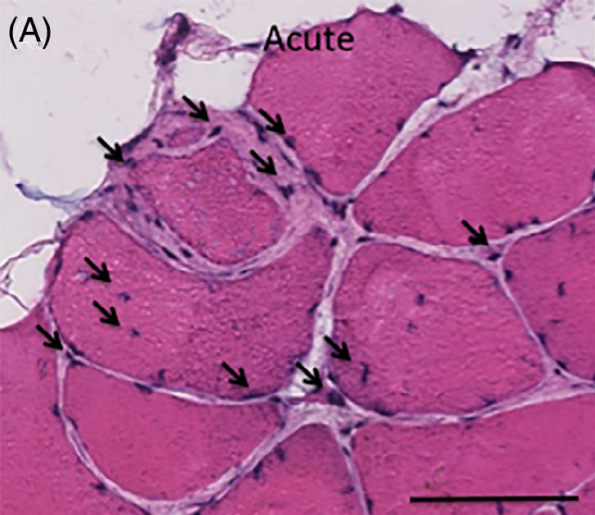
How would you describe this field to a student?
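This is a cross-section of skeletal muscle stained pink, with large polygonal fibers separated by thin pale strands of connective tissue holding small dark elongated nuclei. Around that fiber the interstitium is thickened and crowded with nuclei. This appears to be a degenerating muscle fiber with increased cellularity around it.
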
